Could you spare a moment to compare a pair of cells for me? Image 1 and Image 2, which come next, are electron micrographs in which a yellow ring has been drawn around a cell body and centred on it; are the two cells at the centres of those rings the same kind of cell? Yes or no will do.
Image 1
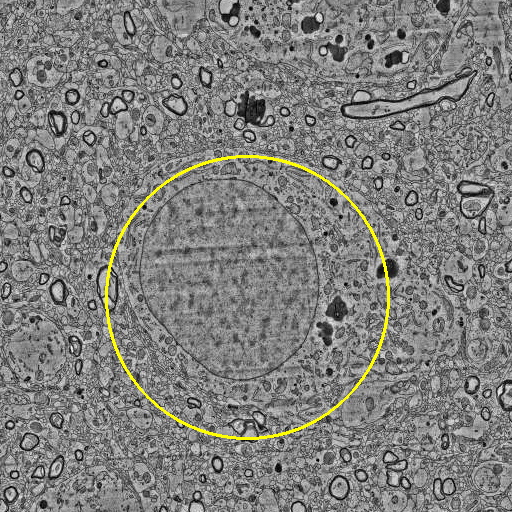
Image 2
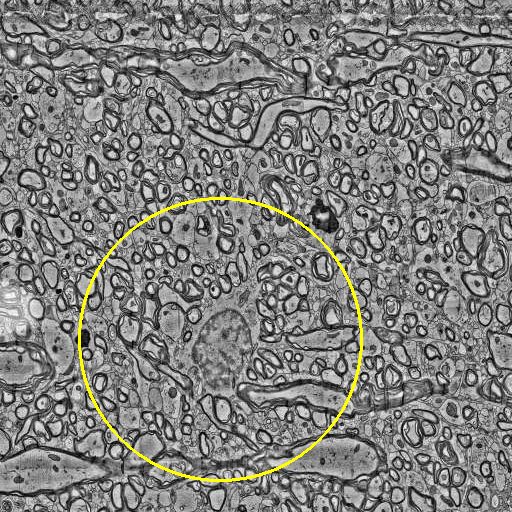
no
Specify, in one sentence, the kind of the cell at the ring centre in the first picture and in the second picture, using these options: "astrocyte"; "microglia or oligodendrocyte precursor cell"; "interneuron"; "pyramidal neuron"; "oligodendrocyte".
So the first is an interneuron, the second an oligodendrocyte.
